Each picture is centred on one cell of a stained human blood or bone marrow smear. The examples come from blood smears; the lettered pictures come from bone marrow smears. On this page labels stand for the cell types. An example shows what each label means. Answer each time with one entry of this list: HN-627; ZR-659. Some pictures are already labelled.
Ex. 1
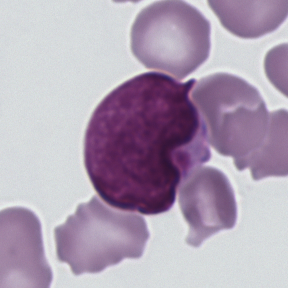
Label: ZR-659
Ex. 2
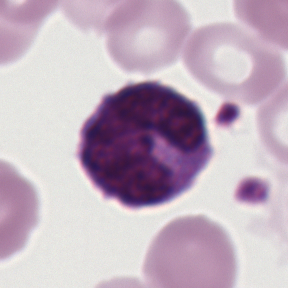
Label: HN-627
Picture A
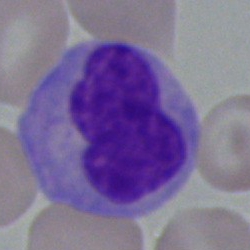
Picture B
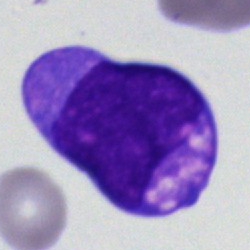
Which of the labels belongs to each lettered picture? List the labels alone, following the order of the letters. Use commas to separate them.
HN-627, ZR-659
